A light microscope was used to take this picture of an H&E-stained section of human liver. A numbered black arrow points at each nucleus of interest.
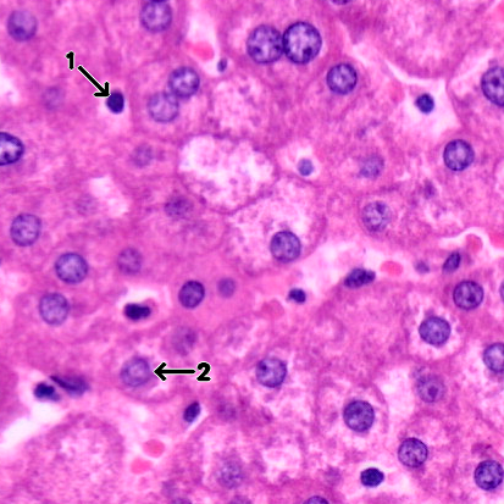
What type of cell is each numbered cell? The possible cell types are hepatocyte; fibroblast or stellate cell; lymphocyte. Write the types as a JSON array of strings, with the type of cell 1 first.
["lymphocyte", "hepatocyte"]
